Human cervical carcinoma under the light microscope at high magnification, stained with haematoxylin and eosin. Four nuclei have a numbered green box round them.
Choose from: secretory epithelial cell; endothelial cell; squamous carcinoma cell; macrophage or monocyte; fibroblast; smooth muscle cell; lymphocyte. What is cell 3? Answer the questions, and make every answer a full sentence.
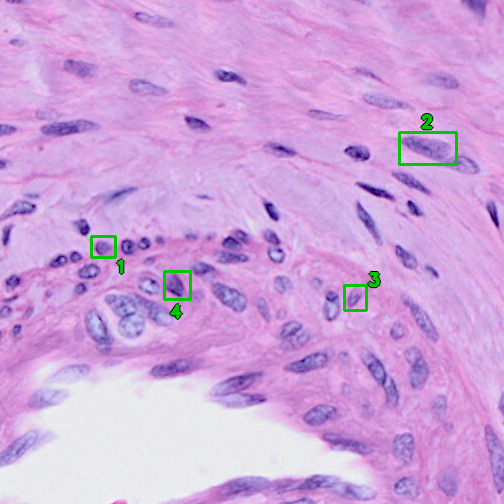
The correct label for cell 3 is a smooth muscle cell.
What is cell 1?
The cell that goes by number 1 is a smooth muscle cell.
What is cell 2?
The correct answer for cell 2 is a fibroblast.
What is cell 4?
The cell carrying label 4 is identified as a smooth muscle cell.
